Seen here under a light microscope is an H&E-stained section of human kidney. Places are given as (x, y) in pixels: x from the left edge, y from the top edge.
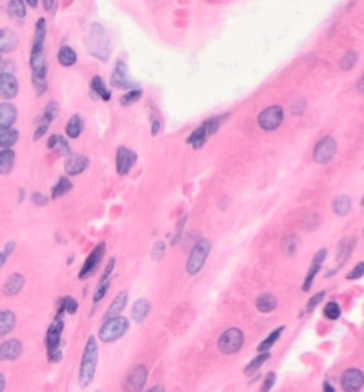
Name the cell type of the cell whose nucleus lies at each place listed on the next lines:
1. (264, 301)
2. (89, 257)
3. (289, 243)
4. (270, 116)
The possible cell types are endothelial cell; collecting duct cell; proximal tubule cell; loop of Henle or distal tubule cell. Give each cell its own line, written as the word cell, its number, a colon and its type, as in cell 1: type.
cell 1: proximal tubule cell
cell 2: endothelial cell
cell 3: proximal tubule cell
cell 4: proximal tubule cell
